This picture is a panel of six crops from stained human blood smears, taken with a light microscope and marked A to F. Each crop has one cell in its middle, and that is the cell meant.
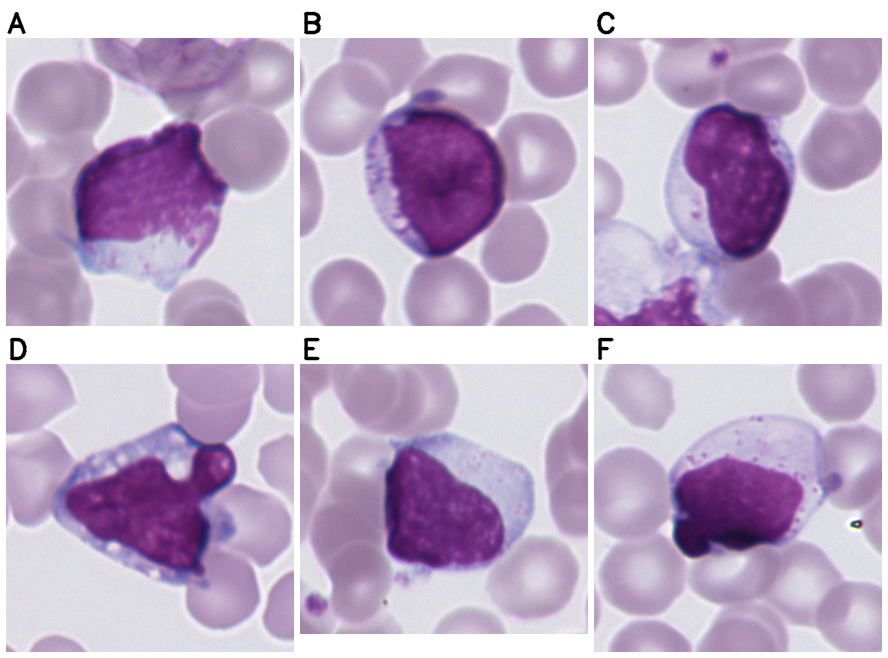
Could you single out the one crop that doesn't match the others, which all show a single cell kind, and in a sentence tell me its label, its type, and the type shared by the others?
Crop D presents a typical lymphocyte, while large granular lymphocytes are presented by all other crops.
